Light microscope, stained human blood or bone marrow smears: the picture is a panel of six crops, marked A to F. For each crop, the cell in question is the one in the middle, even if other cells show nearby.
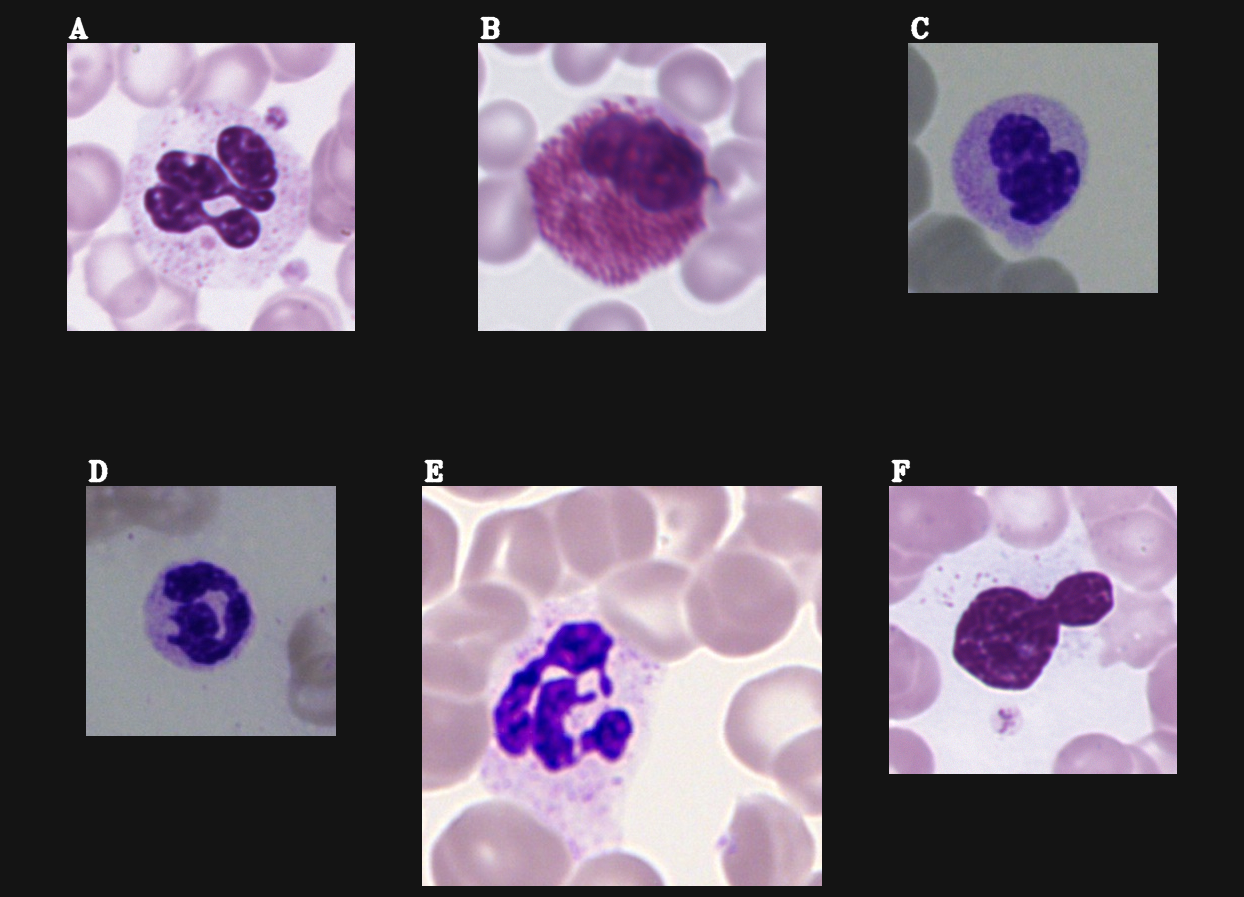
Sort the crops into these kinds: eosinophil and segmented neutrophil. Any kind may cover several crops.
A: segmented neutrophil
B: eosinophil
C: segmented neutrophil
D: segmented neutrophil
E: segmented neutrophil
F: segmented neutrophil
